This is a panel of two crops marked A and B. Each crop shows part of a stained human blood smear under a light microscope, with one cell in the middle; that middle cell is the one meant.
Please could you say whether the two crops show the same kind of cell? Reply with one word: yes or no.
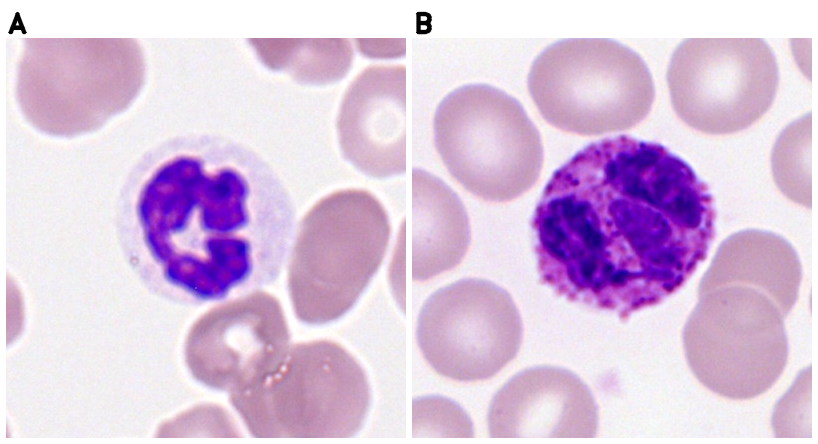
no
